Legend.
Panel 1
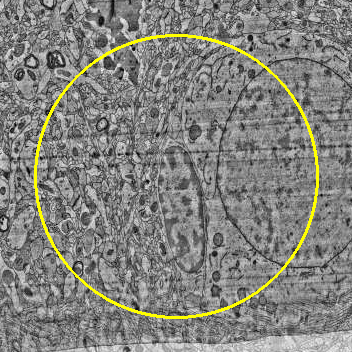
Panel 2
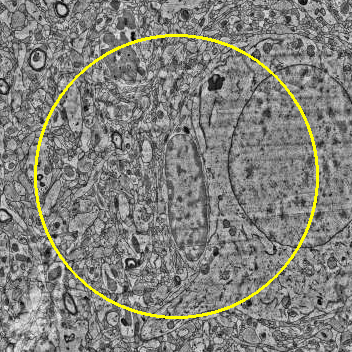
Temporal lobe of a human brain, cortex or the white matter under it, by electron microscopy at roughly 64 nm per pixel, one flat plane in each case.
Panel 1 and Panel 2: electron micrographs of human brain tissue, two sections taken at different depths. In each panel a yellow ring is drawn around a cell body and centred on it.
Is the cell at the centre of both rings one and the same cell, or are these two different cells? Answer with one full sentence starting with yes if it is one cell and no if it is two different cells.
Yes, a single cell is marked twice, once by each yellow ring.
